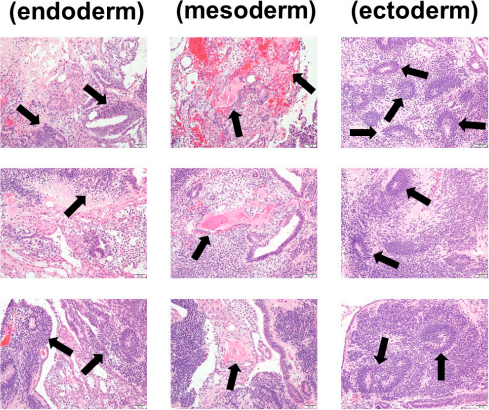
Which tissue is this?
teratomas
